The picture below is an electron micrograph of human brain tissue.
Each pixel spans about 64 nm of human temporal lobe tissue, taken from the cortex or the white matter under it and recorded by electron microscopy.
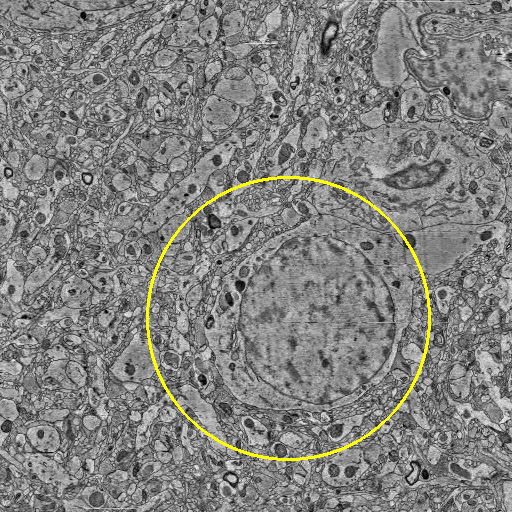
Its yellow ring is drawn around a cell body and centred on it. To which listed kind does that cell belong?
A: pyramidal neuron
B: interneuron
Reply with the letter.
B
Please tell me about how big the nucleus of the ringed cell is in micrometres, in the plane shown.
The nucleus measures about 11 micrometers across in this plane.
